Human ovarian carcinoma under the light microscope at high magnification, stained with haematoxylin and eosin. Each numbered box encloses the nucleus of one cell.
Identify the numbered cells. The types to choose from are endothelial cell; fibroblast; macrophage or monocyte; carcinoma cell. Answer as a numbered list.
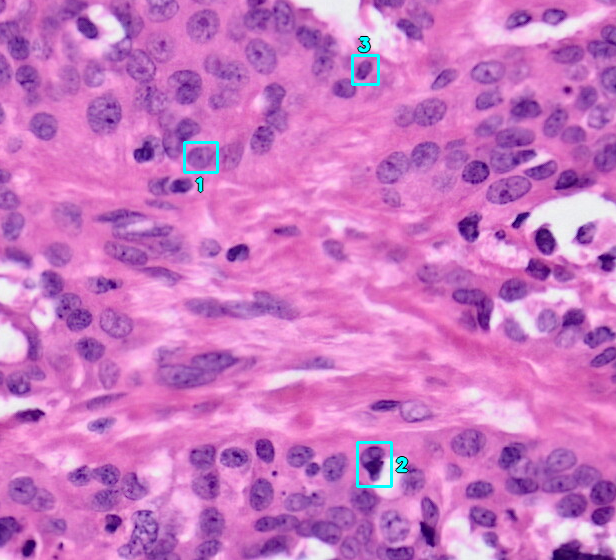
1. carcinoma cell
2. carcinoma cell
3. macrophage or monocyte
